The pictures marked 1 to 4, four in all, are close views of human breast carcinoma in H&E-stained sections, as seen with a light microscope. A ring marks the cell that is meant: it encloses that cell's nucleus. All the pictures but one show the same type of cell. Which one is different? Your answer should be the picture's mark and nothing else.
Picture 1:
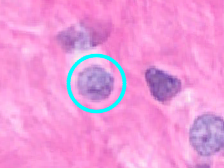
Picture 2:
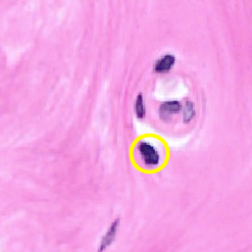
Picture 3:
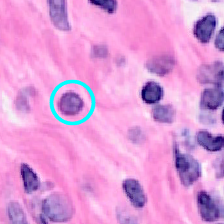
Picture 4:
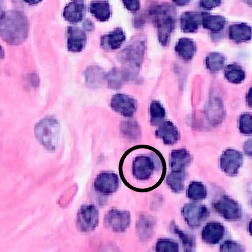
1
